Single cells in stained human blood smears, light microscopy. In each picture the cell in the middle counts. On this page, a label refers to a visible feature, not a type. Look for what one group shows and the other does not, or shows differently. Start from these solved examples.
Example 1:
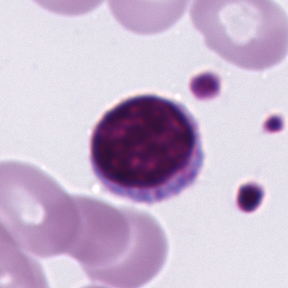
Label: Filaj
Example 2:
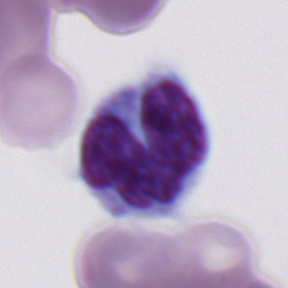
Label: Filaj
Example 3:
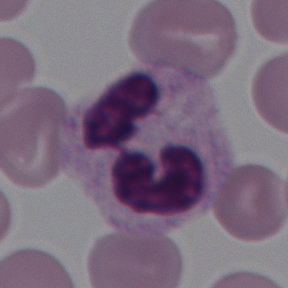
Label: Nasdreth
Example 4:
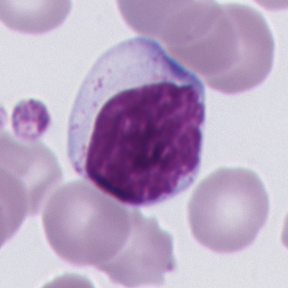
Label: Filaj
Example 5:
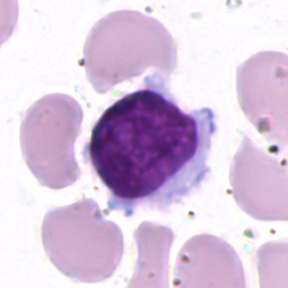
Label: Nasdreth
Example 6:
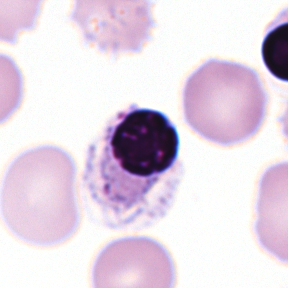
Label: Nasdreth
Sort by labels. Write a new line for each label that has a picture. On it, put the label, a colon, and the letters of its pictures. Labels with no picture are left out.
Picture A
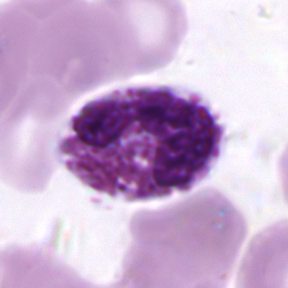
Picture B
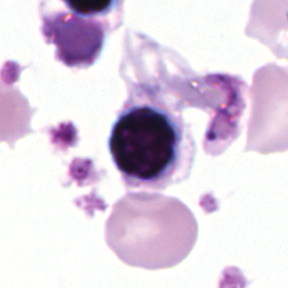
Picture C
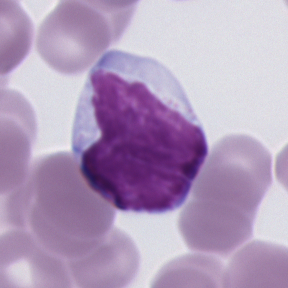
Filaj: C
Nasdreth: A, B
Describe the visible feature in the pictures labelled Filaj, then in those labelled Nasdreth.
Filaj, smooth outline; Nasdreth, ragged outline or projections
